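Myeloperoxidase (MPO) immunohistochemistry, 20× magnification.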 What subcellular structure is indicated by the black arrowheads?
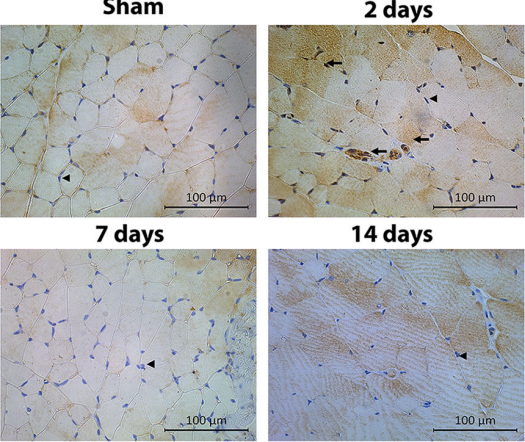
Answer: Nuclei.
